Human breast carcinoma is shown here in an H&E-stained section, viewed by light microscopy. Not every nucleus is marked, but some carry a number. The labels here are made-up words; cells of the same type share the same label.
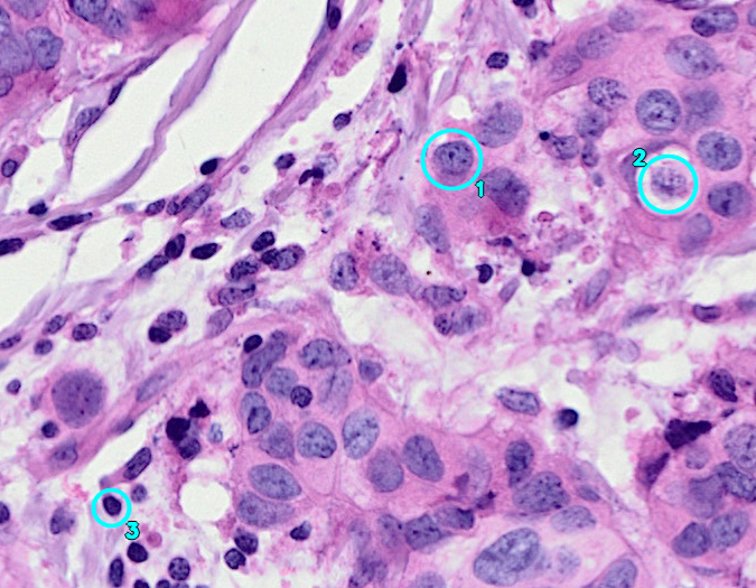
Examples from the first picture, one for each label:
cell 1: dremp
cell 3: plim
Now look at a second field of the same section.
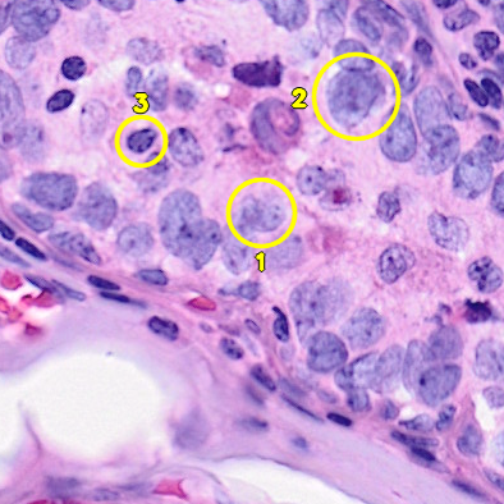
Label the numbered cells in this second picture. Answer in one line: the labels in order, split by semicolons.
dremp; dremp; plim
